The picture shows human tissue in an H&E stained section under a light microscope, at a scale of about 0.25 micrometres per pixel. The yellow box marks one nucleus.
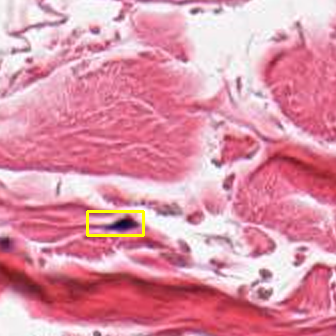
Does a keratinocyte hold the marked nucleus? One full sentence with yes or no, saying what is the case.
No, the marked nucleus is found in a supporting cell instead of in a keratinocyte.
